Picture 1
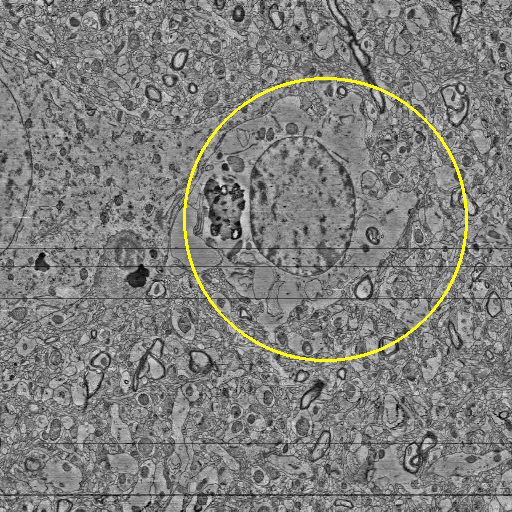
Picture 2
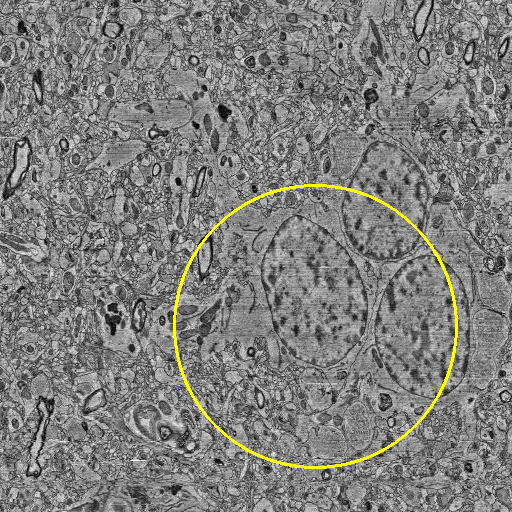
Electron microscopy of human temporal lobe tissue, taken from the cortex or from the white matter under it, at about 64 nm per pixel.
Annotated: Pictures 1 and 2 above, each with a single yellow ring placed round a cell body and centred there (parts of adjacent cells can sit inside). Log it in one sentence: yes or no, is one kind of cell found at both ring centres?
Yes, the ring centres of the two pictures hold cells of one kind.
